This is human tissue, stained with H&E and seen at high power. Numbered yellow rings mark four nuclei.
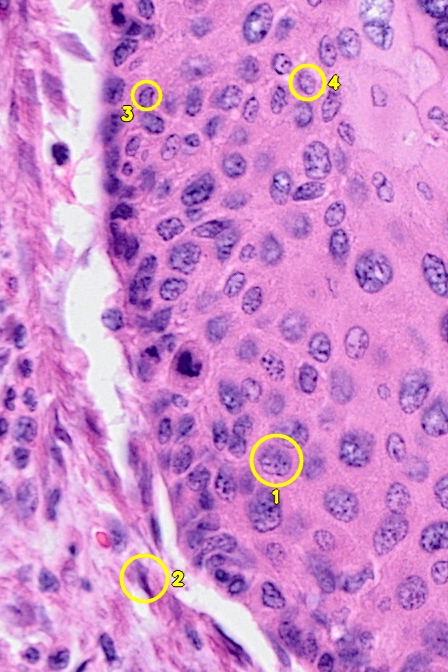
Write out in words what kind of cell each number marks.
Cell 1 is a squamous carcinoma cell, cell 2 is a fibroblast, cell 3 is a squamous carcinoma cell and cell 4 is a squamous carcinoma cell.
